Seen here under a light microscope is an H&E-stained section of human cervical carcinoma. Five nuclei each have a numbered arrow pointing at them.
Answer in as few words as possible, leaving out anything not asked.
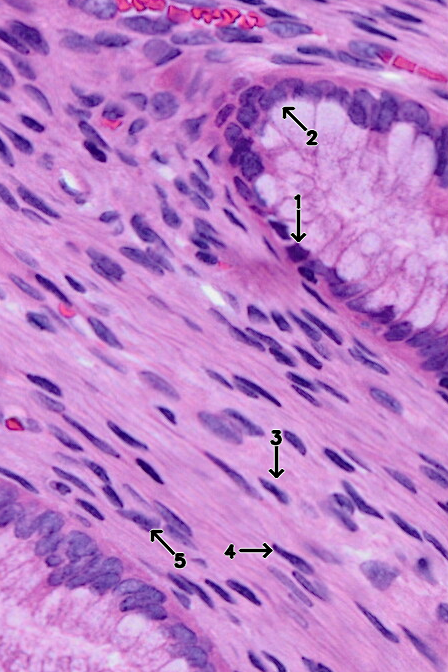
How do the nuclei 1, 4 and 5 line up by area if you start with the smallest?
4, 1, 5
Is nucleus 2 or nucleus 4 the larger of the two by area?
2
